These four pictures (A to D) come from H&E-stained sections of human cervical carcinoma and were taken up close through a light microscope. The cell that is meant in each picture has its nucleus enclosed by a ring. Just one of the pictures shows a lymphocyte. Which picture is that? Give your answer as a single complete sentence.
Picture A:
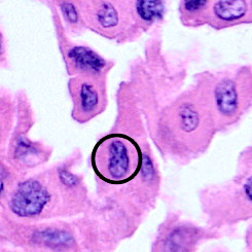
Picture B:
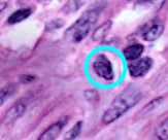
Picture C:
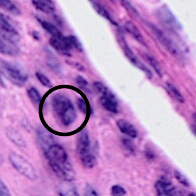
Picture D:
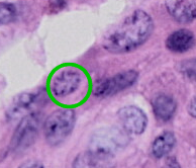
The cell in picture B is the lymphocyte.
